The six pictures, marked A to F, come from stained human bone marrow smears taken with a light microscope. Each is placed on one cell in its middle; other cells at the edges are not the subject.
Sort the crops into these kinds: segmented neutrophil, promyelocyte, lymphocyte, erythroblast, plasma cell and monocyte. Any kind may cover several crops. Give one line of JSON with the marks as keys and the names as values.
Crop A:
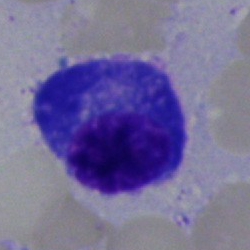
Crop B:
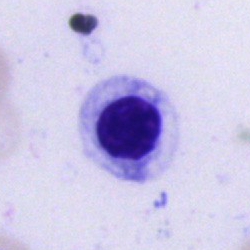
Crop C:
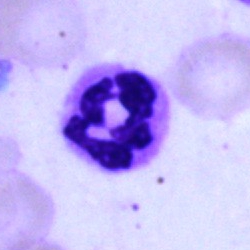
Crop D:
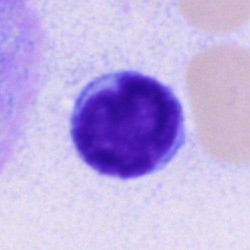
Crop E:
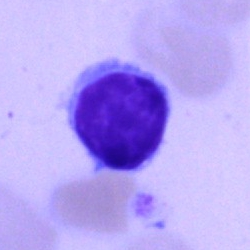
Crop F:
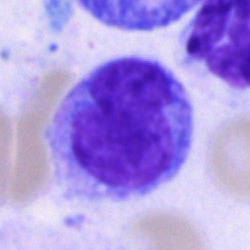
{"A": "plasma cell", "B": "erythroblast", "C": "segmented neutrophil", "D": "lymphocyte", "E": "lymphocyte", "F": "monocyte"}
